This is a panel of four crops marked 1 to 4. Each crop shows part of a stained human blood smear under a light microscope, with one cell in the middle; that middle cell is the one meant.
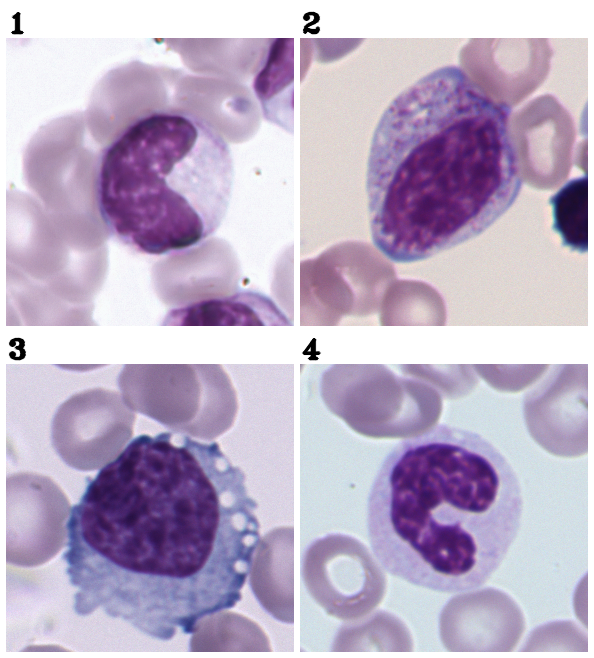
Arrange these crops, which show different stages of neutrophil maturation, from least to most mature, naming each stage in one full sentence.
Sequenced by maturity, least first, the crops are crop 3 (a myeloblast), crop 2 (a myelocyte), crop 1 (a metamyelocyte) and crop 4 (a band neutrophil).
